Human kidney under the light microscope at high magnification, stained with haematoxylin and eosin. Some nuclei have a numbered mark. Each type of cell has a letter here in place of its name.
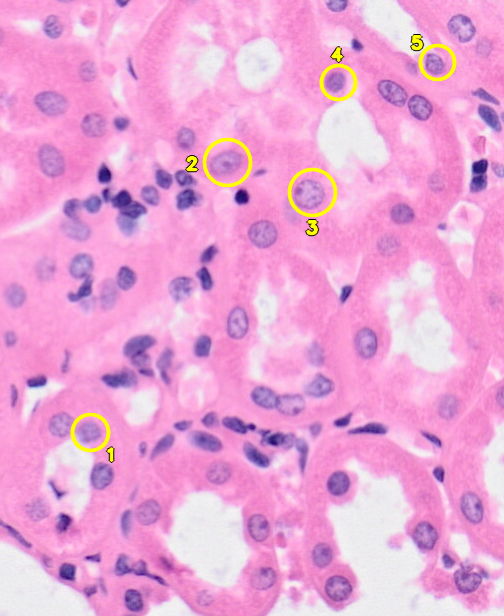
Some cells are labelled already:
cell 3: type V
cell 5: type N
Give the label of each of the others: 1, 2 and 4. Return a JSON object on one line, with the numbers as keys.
{"1": "type N", "2": "type V", "4": "type V"}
